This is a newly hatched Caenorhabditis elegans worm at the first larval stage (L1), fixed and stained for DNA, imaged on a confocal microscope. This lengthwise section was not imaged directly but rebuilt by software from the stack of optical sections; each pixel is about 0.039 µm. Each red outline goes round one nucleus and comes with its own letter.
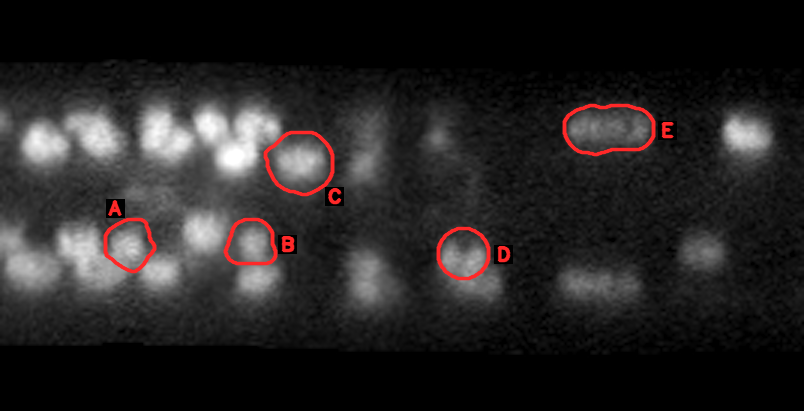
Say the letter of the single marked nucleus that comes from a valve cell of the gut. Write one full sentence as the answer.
D is the one that belongs to a valve cell of the gut.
